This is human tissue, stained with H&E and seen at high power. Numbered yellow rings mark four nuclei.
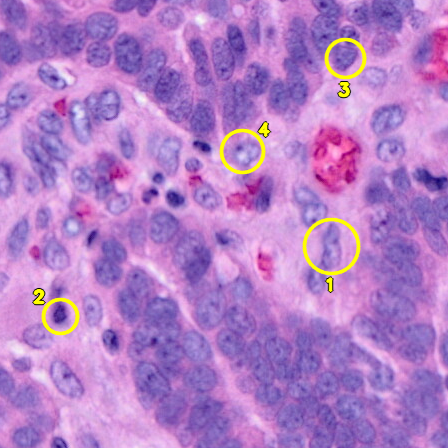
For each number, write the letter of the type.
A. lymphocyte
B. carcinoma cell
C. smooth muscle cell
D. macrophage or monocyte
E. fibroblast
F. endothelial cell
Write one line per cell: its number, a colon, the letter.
1: E
2: A
3: B
4: E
